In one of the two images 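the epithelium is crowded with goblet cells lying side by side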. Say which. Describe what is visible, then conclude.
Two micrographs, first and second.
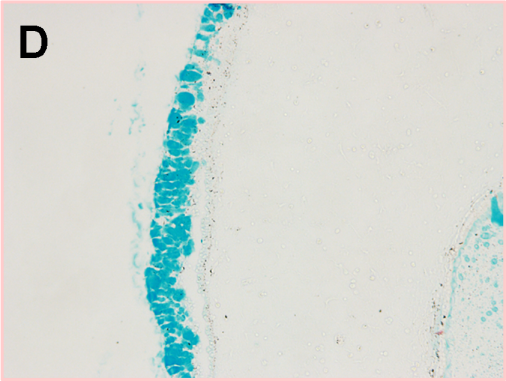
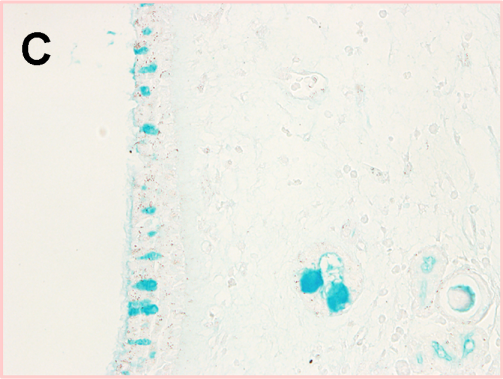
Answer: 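The first image. First image: blue-filled cells form a continuous dense band along the epithelium. Second image: blue-filled cells are few and spaced apart within the epithelium.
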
